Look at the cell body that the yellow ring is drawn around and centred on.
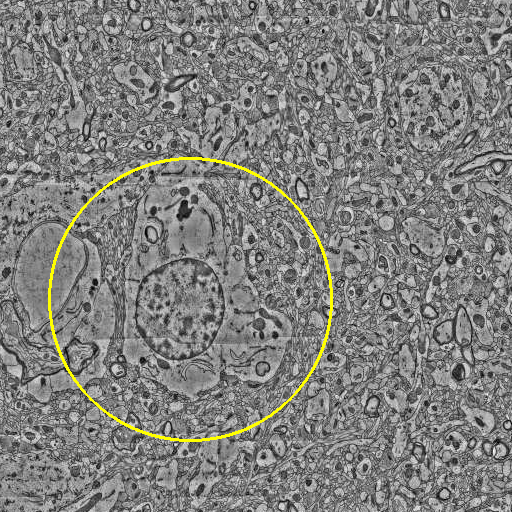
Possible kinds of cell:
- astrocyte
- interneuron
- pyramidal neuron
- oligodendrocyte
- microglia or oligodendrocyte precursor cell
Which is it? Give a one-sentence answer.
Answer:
The centred cell body is that of an astrocyte.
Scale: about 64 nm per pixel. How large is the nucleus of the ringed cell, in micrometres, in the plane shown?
Approximately 6 micrometers across in this plane.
